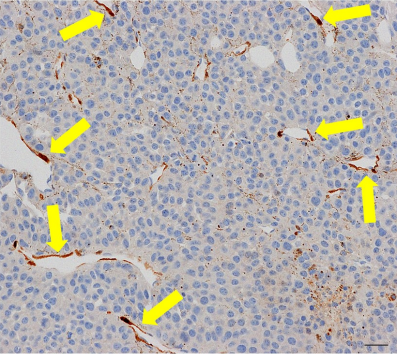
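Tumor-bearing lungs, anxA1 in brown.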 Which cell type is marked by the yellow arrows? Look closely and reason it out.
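Microvascular endothelial cell. Flat brown-stained cells line the walls of small vascular spaces. Several such lined channels run through a sheet of densely packed cells.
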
